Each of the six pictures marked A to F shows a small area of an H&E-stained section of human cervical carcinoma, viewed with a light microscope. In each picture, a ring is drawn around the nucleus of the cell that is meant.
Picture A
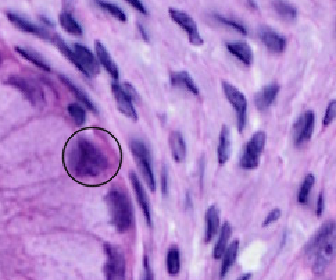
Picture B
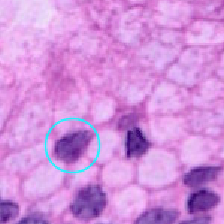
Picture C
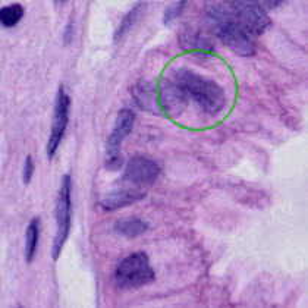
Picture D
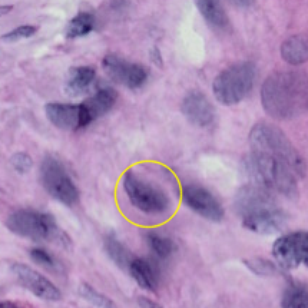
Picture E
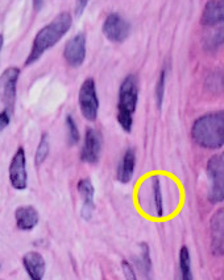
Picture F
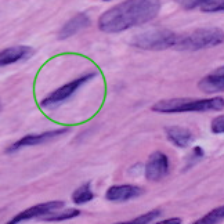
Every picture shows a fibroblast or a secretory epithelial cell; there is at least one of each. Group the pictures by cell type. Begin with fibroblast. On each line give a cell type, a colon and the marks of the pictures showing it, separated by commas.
fibroblast: D, E, F
secretory epithelial cell: A, B, C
